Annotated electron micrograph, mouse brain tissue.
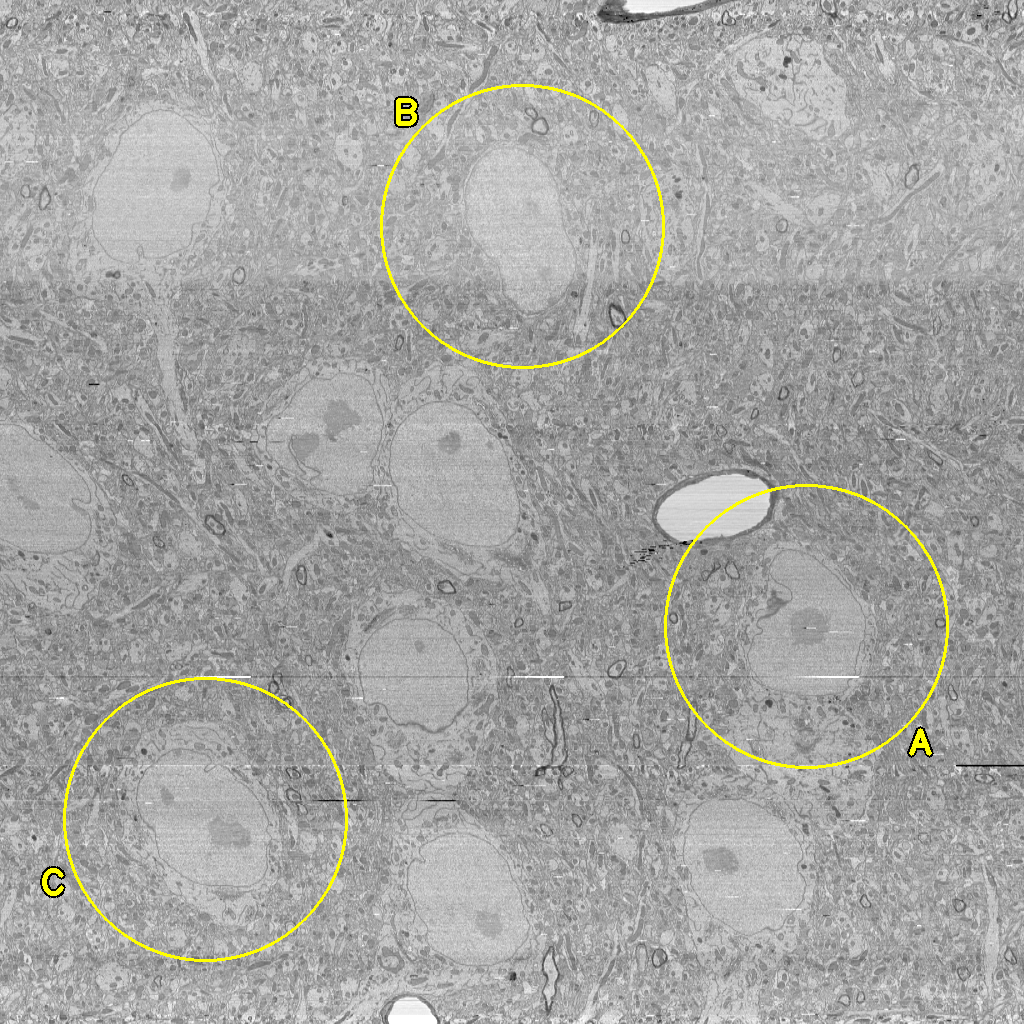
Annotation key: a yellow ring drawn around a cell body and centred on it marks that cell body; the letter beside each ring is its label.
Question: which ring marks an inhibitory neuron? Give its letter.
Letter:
A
